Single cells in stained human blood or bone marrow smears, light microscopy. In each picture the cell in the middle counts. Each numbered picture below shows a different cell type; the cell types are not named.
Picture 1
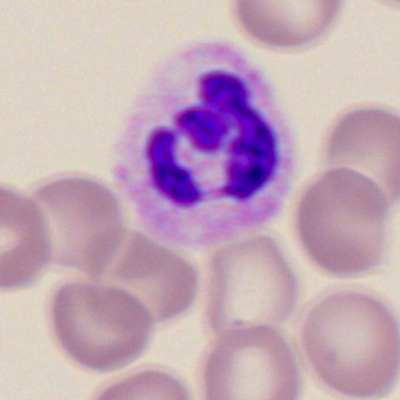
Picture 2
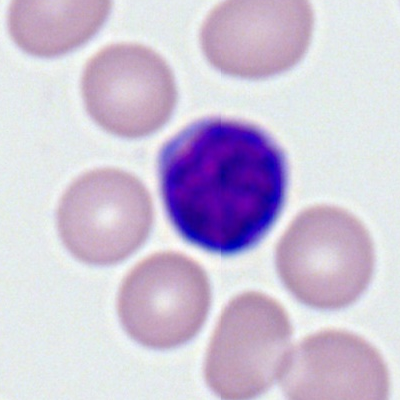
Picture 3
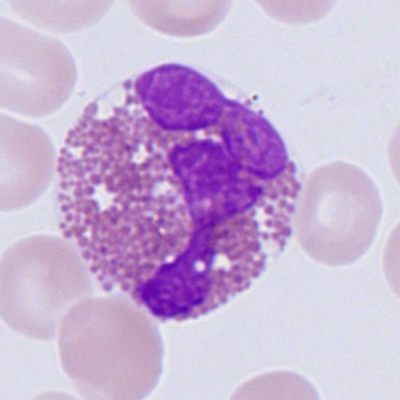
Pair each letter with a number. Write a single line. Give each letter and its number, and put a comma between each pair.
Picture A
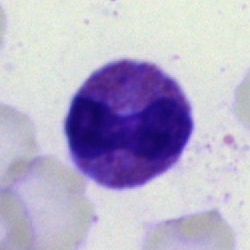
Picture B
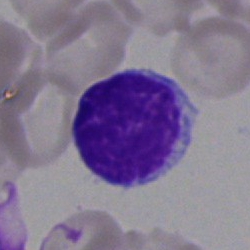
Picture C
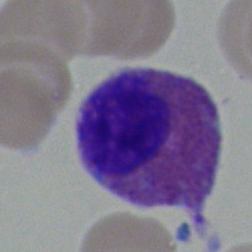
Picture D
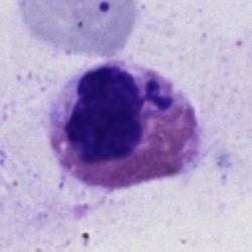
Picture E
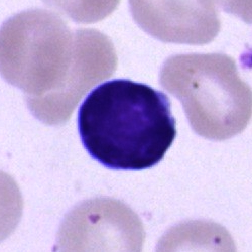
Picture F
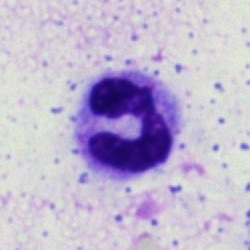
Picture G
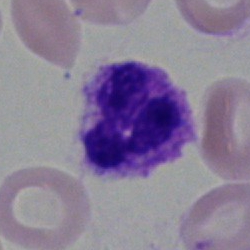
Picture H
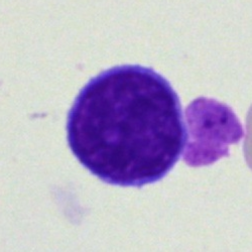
A 3, B 2, C 3, D 3, E 2, F 1, G 1, H 2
